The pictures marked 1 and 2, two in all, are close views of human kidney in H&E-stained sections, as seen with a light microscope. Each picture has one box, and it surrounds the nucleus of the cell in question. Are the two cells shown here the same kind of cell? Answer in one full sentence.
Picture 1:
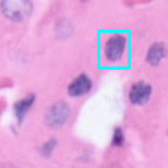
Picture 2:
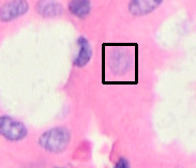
No, picture 1 shows a “loop of Henle or distal tubule cell” and picture 2 shows a proximal tubule cell.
